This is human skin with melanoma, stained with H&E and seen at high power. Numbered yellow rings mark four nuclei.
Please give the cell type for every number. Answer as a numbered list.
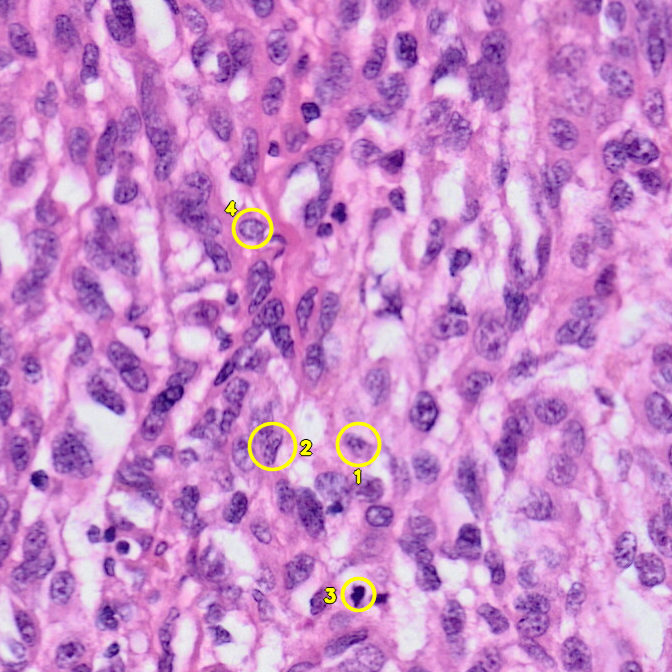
1. melanoma cell
2. melanoma cell
3. lymphocyte
4. melanoma cell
